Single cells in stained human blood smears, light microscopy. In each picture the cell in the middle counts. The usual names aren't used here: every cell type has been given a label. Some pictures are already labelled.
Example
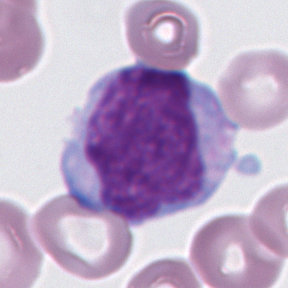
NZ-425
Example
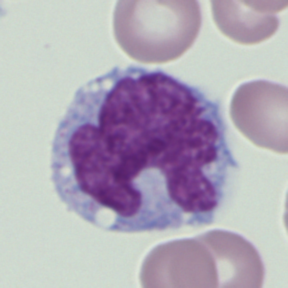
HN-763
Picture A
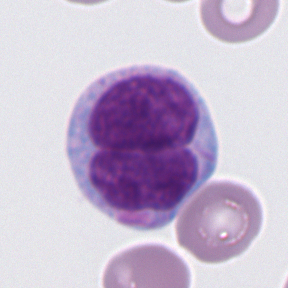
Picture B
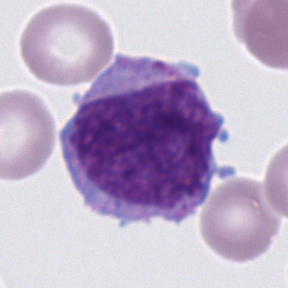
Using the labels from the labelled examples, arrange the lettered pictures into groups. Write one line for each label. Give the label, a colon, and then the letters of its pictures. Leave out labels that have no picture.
NZ-425: A, B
